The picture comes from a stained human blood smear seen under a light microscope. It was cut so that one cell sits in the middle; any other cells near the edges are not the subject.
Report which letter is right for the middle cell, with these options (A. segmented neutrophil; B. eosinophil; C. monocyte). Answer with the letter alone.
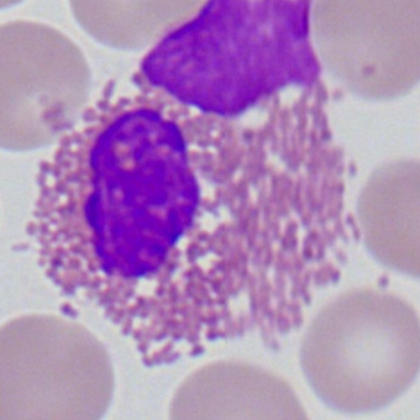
B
